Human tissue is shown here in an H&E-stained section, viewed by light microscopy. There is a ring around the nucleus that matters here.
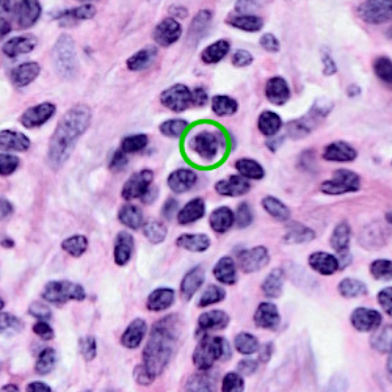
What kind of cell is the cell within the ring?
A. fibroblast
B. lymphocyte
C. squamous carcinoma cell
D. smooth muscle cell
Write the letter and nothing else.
B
